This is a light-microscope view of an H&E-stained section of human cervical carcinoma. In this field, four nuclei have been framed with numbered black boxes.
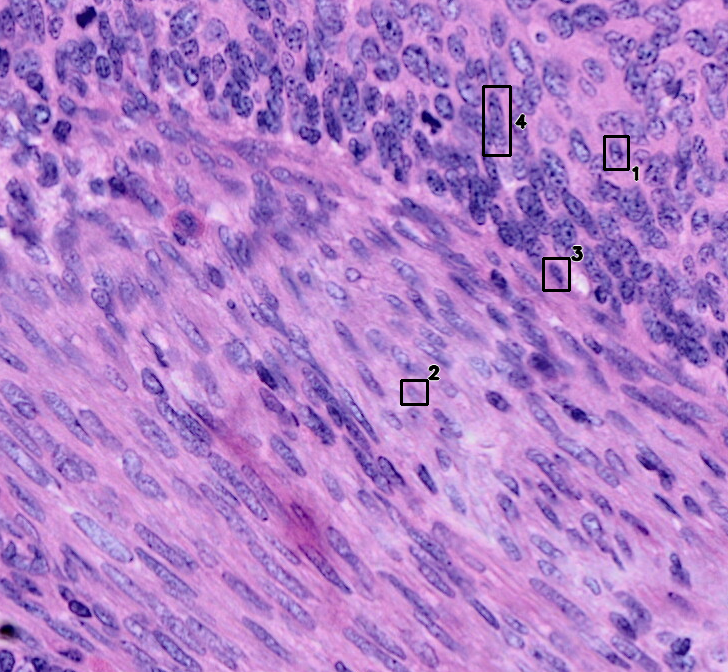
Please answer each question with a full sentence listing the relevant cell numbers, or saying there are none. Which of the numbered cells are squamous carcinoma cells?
The cells numbered 1, 3 and 4 fall into the category of squamous carcinoma cells.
